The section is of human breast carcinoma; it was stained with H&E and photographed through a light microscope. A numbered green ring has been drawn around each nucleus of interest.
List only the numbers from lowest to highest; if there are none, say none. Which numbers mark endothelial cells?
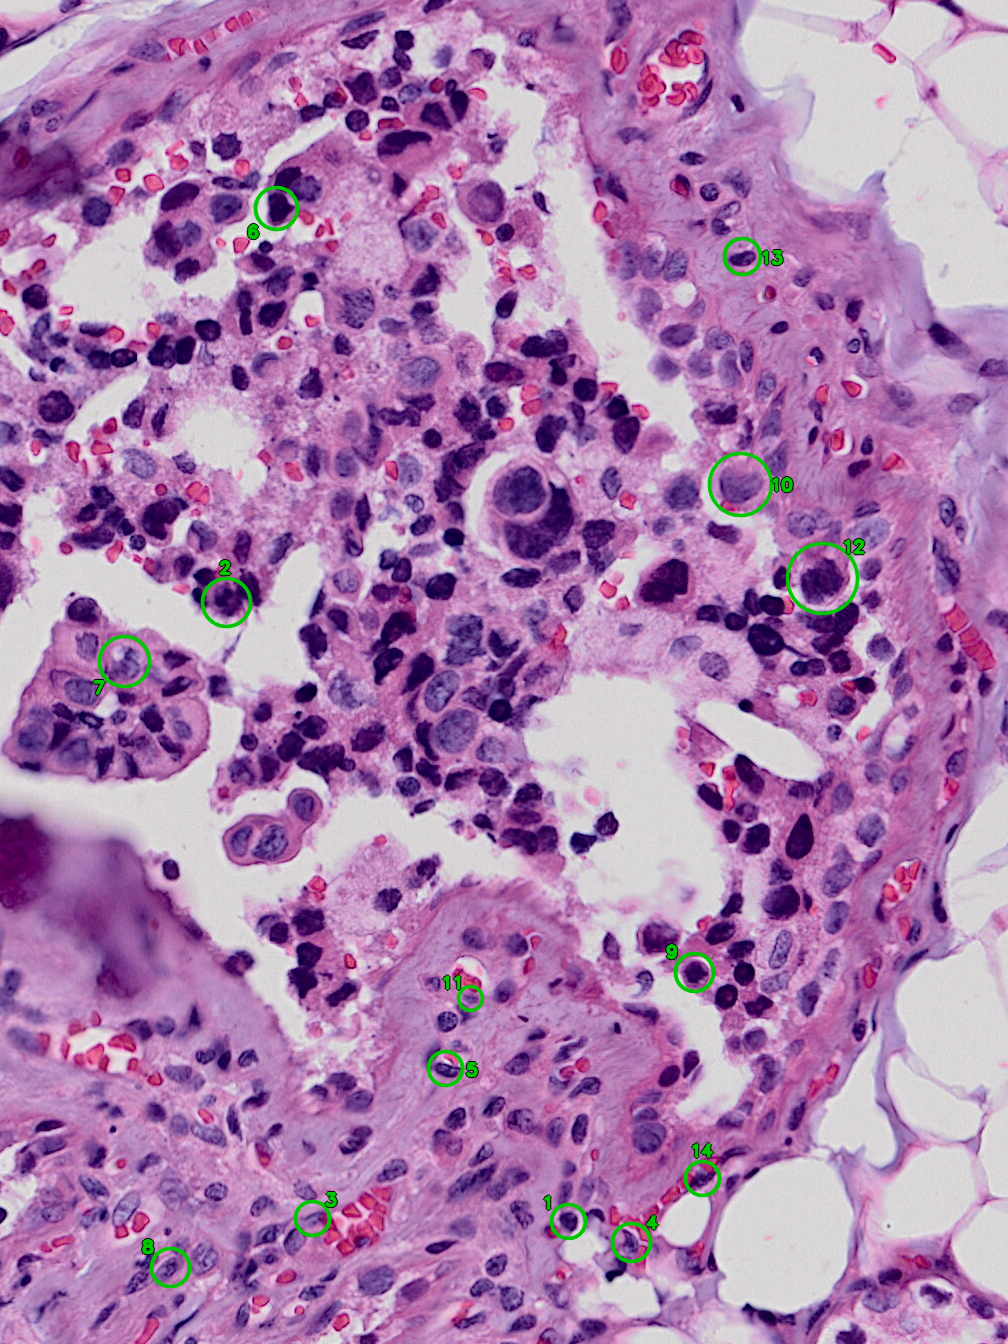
3, 4, 5, 8, 11, 14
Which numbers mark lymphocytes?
1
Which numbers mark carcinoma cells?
2, 6, 7, 9, 10, 12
